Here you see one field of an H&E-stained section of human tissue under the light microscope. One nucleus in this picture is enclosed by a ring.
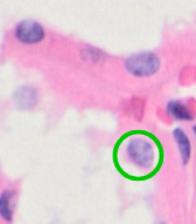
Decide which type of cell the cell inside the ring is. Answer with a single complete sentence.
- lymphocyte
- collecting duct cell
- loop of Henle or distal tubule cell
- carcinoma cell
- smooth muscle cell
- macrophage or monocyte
The cell inside the ring is a loop of Henle or distal tubule cell.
